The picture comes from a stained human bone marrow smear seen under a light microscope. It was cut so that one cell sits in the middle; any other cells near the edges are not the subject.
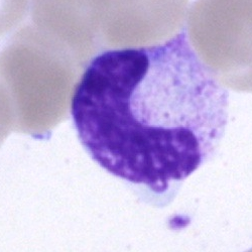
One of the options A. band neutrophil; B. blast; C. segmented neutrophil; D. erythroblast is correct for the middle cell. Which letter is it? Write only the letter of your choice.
A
